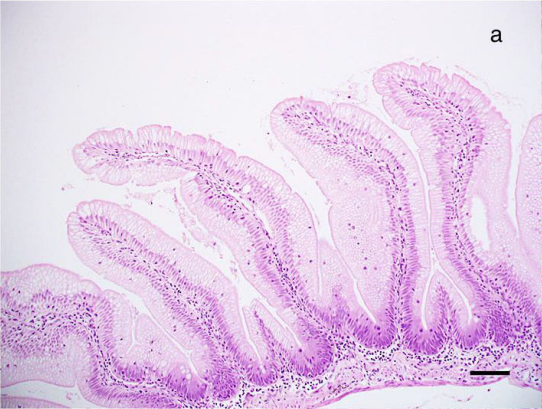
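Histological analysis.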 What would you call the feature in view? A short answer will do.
Simple intestinal folds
